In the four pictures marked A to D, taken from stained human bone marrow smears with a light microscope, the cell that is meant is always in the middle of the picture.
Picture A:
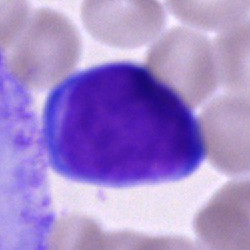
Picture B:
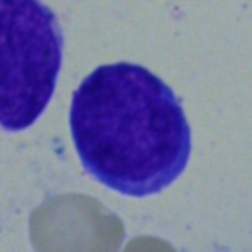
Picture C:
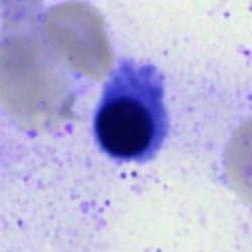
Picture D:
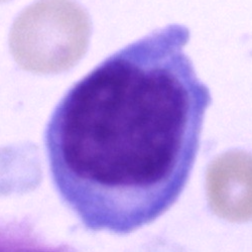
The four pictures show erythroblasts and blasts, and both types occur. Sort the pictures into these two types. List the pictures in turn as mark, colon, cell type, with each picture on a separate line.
A: blast
B: blast
C: erythroblast
D: blast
